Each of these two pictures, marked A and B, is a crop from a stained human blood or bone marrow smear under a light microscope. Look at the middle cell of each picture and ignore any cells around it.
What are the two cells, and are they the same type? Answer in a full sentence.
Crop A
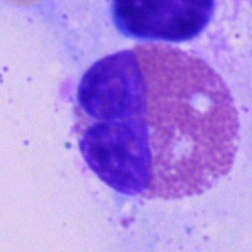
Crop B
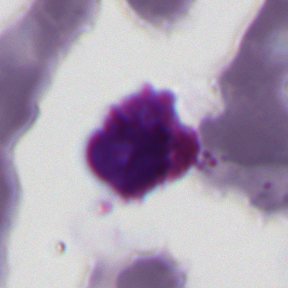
Yes, the two crops show eosinophils, one cell each.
